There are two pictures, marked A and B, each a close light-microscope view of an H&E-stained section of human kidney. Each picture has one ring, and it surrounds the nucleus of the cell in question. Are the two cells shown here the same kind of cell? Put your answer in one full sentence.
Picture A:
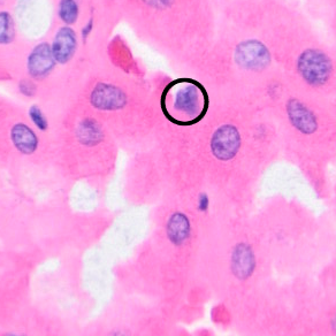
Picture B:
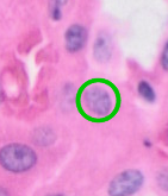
No; the cell in picture A is an endothelial cell, while the one in picture B is a “loop of Henle or distal tubule cell”.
